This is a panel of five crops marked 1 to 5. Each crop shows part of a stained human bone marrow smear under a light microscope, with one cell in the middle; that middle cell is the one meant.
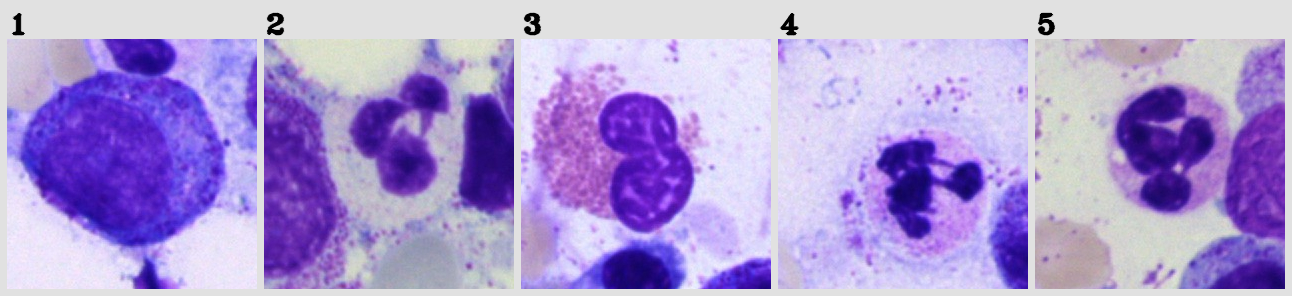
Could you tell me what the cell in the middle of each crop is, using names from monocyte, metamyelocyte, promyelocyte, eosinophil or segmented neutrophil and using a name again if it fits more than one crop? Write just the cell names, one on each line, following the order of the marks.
promyelocyte
segmented neutrophil
eosinophil
segmented neutrophil
segmented neutrophil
